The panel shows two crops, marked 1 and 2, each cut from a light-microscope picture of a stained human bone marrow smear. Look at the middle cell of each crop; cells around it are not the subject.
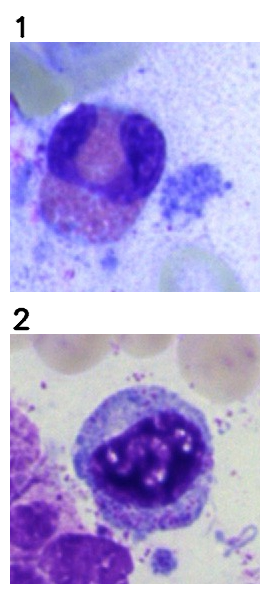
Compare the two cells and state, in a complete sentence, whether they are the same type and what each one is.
No, in crop 2 the central cell is a myelocyte, and in crop 1 it is an eosinophil.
